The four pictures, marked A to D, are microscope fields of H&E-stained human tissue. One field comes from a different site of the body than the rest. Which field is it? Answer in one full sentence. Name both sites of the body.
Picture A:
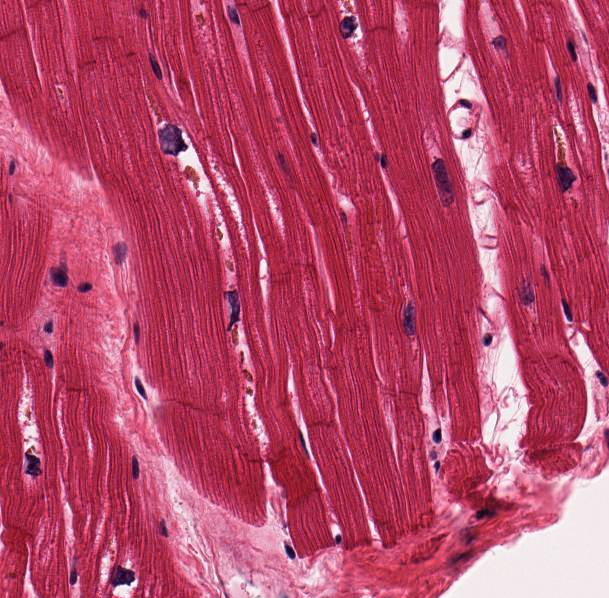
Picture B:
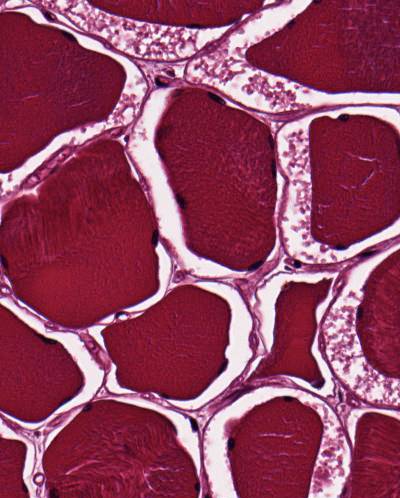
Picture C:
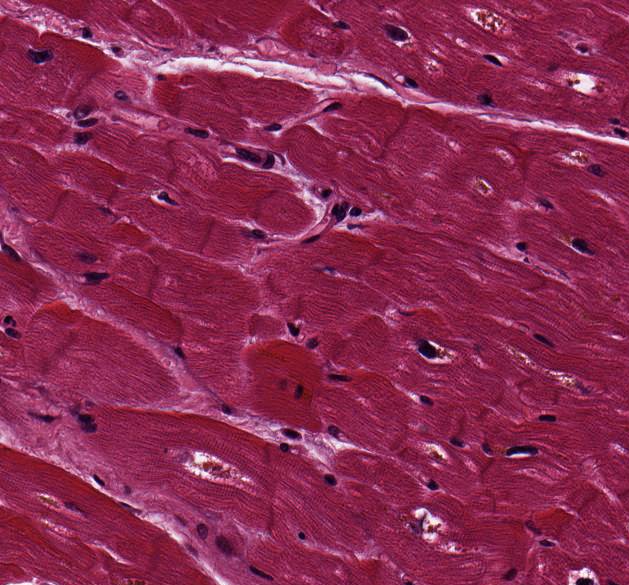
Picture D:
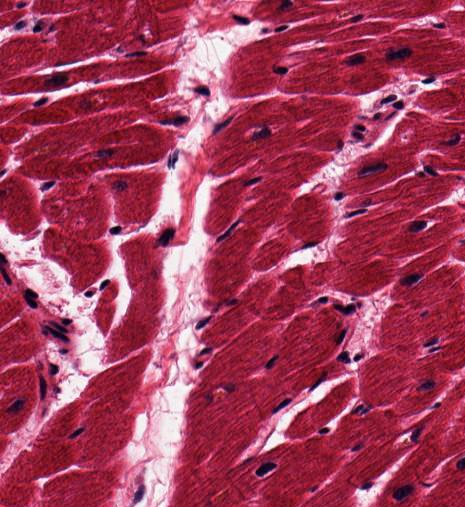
Picture B is the odd one out: it comes from skeletal muscle, while the others come from the left ventricle of the heart.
